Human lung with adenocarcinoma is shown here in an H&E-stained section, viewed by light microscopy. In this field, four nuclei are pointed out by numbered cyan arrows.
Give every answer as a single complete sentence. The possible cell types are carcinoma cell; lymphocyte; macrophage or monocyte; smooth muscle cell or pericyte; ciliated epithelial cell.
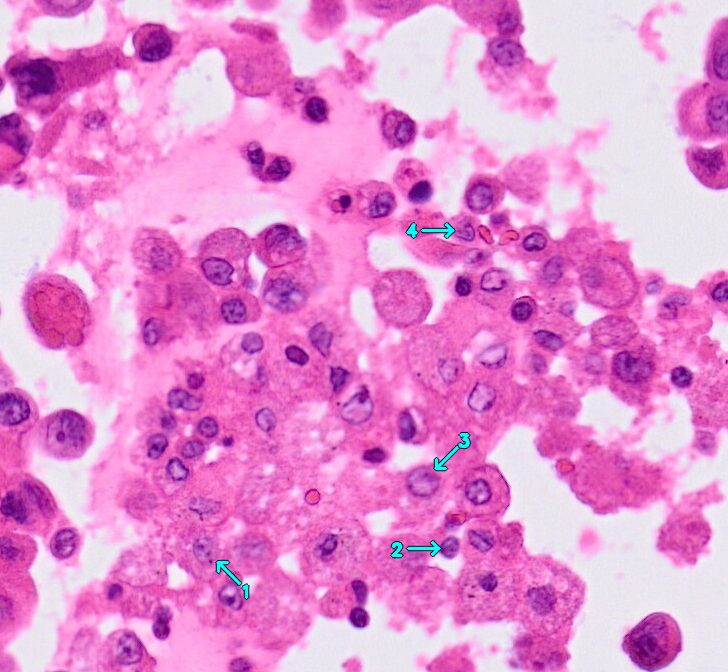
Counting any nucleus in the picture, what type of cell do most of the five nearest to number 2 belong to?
The majority of the five nuclei closest to number 2 belong to macrophages or monocytes.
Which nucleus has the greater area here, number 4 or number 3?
Nucleus 3 is the larger one, covering about 2 times the area of nucleus 4.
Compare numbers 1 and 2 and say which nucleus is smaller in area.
Number 2 is smaller, since number 1 takes up about 1.5 times as much area.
